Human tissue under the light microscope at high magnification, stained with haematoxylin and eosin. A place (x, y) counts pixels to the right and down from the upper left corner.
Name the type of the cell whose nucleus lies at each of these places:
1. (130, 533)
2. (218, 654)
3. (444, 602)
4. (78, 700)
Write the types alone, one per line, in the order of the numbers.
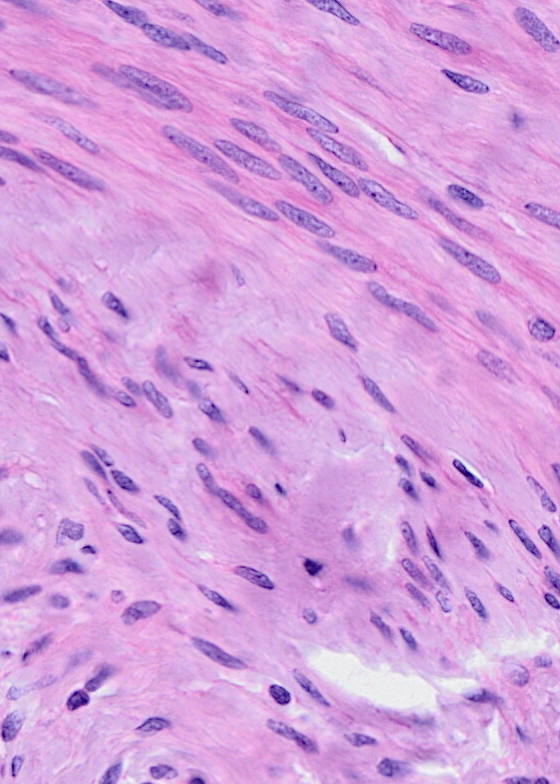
fibroblast
fibroblast
smooth muscle cell
lymphocyte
